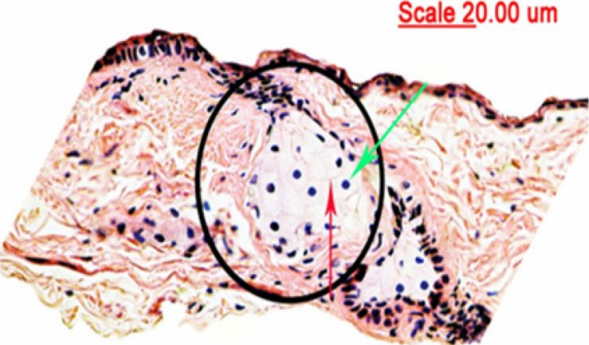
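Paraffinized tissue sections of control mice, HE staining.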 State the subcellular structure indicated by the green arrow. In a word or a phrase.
Nuclei.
